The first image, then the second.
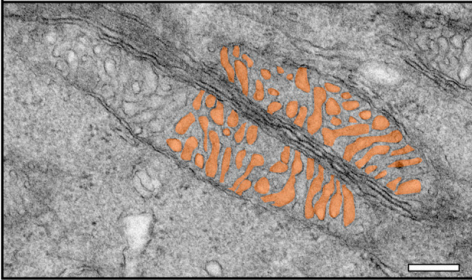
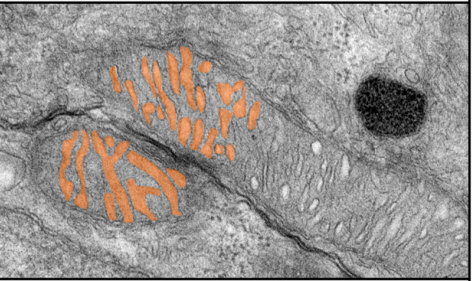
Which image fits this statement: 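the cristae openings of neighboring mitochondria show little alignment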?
the second image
